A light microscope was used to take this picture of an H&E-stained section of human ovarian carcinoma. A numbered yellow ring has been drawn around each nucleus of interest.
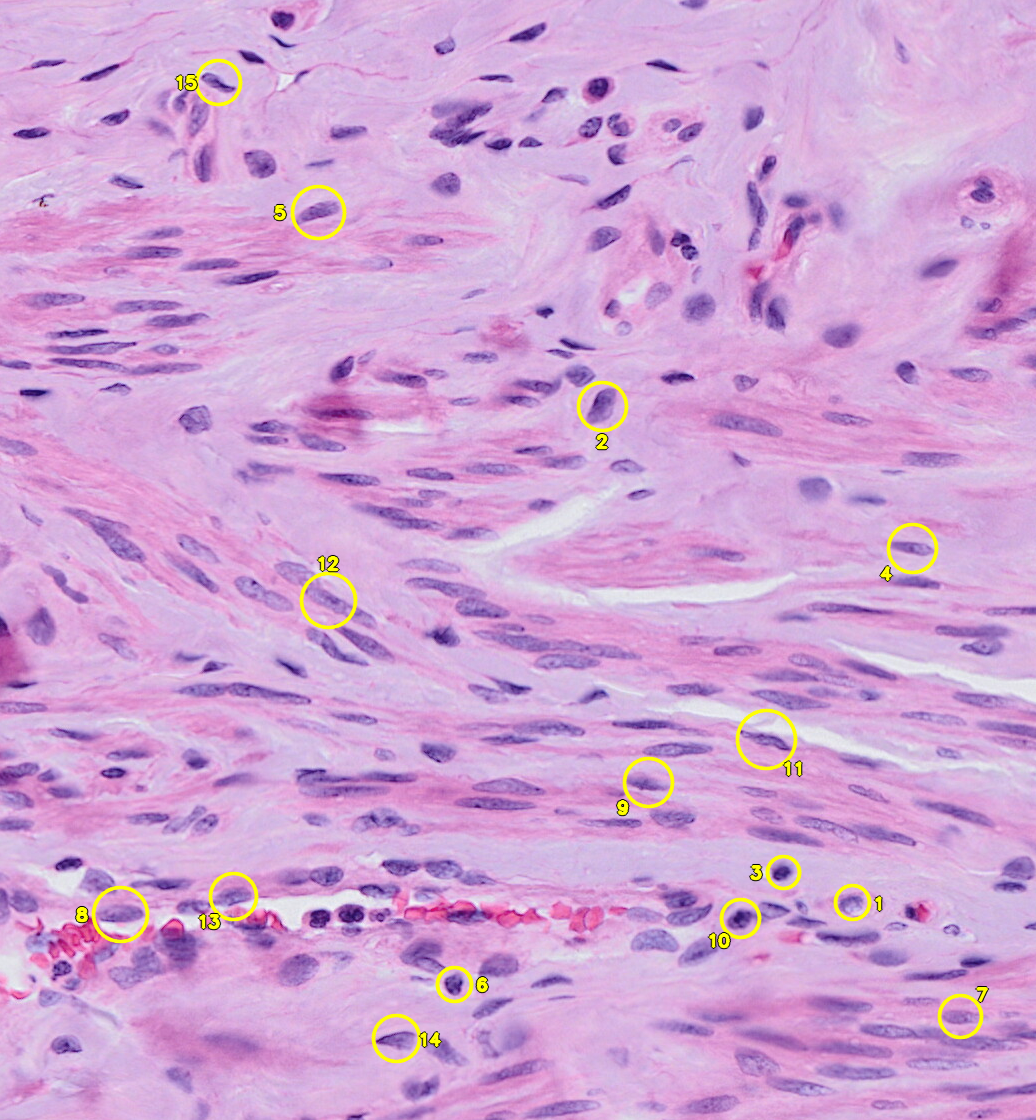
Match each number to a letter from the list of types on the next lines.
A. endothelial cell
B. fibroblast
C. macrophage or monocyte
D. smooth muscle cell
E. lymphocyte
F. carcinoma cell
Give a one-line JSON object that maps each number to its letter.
{"1": "A", "2": "B", "3": "E", "4": "D", "5": "D", "6": "E", "7": "D", "8": "A", "9": "D", "10": "E", "11": "D", "12": "D", "13": "A", "14": "B", "15": "B"}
